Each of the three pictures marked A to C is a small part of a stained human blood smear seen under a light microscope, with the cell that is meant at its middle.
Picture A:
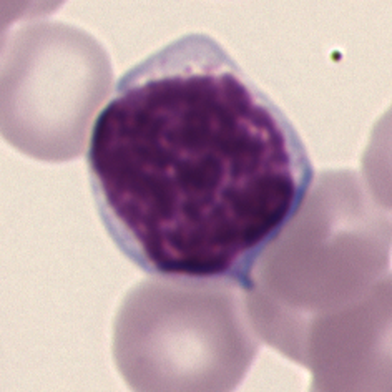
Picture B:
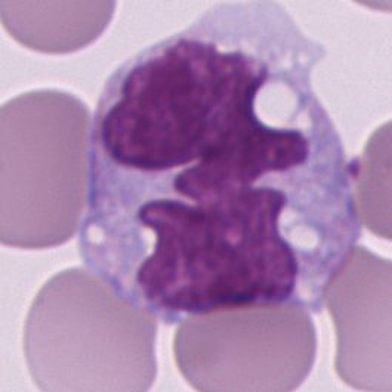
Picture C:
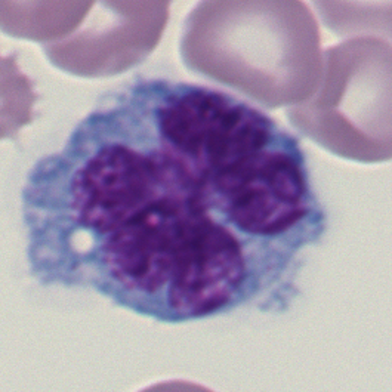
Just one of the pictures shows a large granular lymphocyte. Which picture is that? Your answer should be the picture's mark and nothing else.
A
